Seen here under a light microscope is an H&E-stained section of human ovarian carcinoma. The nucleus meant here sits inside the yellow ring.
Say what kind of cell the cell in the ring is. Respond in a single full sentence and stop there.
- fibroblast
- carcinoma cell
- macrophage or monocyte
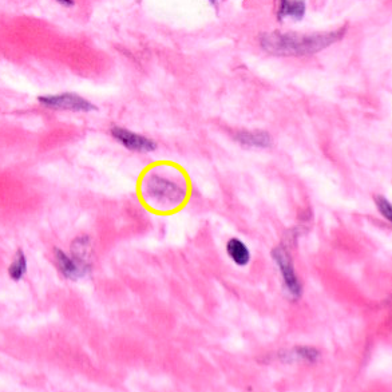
The category to which the cell in the ring belongs is that of a fibroblast.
